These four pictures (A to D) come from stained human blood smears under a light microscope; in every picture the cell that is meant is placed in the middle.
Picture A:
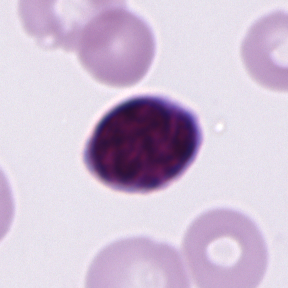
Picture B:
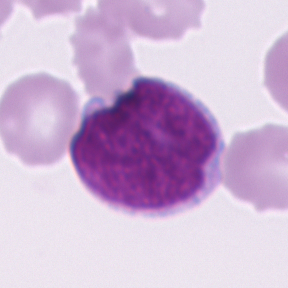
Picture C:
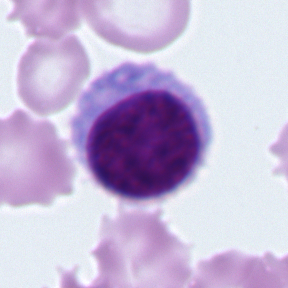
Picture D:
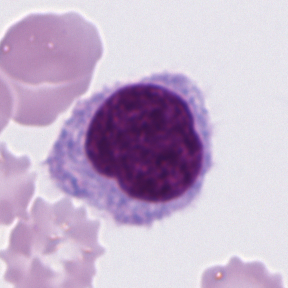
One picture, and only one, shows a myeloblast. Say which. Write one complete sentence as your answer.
Picture B is the one that shows the myeloblast.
